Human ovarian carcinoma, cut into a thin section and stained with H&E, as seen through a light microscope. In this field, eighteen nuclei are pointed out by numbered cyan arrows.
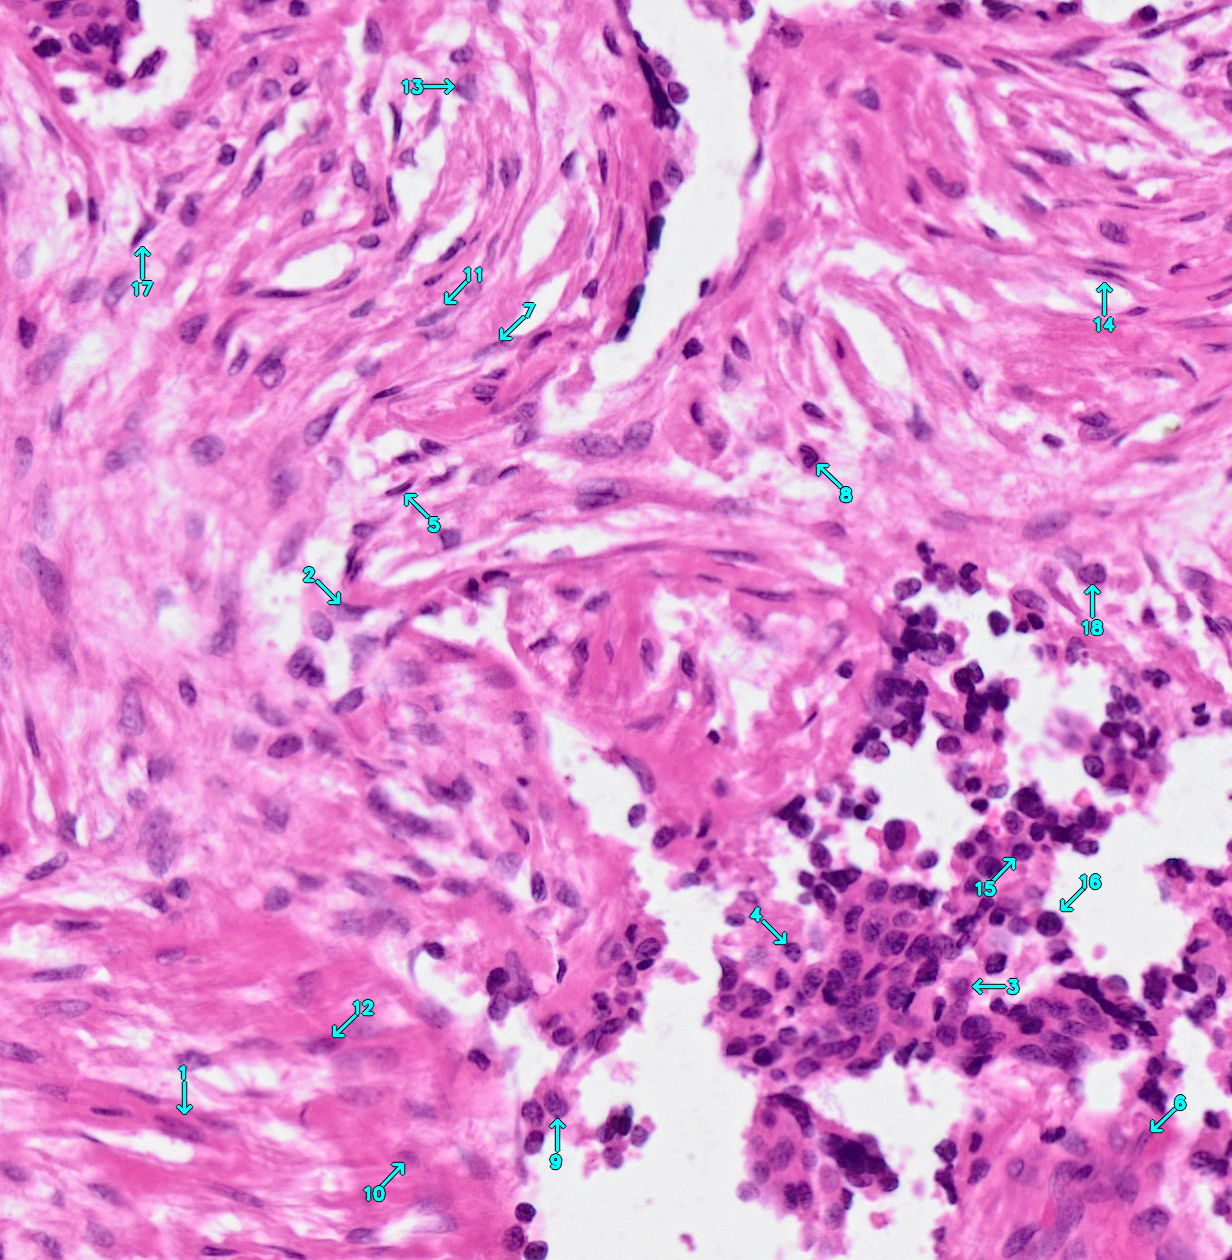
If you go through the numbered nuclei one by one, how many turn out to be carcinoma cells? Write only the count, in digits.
3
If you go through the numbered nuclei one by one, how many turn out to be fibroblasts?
10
